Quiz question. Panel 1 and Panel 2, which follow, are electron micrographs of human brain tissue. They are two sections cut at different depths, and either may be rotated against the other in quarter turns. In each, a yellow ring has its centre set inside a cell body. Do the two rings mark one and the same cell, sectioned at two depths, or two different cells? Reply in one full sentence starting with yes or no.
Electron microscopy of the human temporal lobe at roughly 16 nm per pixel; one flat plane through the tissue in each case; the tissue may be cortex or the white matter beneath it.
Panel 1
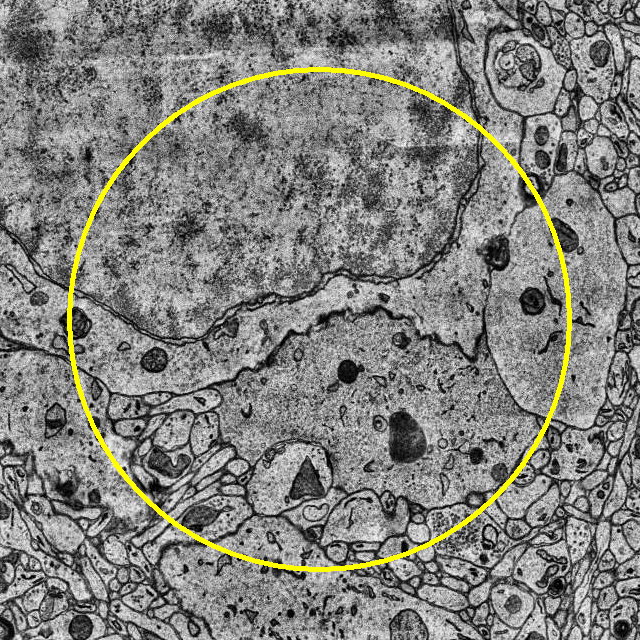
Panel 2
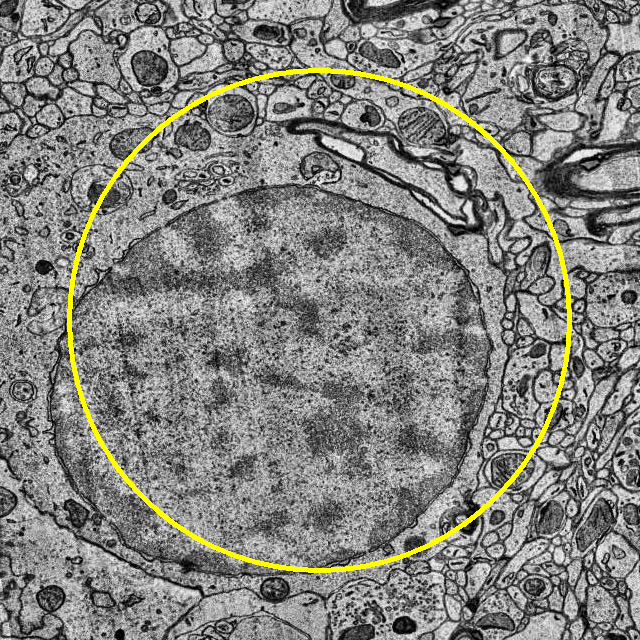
Yes, one cell accounts for both of the yellow rings.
